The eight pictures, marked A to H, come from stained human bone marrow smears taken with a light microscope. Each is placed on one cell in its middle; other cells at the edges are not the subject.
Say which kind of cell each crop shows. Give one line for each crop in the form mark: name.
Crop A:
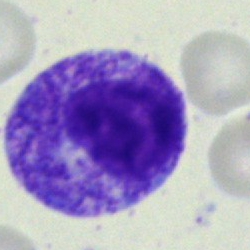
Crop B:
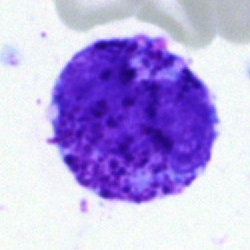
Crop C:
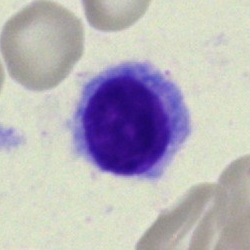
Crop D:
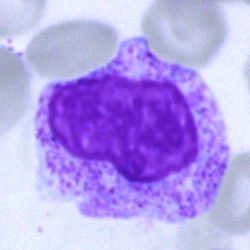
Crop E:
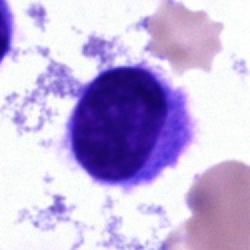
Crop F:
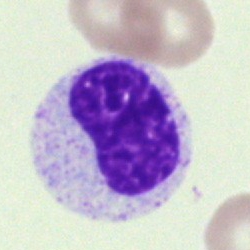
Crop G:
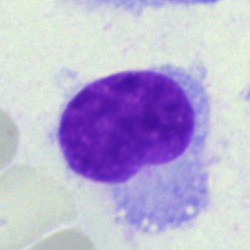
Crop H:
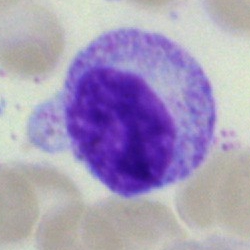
A: myelocyte
B: basophil
C: hairy cell
D: myelocyte
E: hairy cell
F: metamyelocyte
G: hairy cell
H: myelocyte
